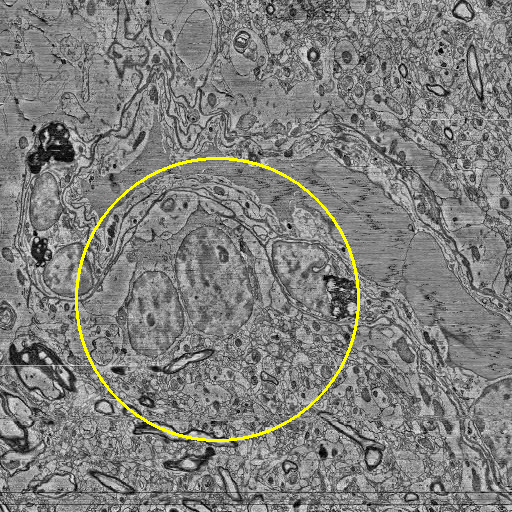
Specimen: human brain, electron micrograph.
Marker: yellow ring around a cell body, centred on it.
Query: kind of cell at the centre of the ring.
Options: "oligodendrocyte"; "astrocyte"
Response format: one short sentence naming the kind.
This cell body belongs to an oligodendrocyte.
